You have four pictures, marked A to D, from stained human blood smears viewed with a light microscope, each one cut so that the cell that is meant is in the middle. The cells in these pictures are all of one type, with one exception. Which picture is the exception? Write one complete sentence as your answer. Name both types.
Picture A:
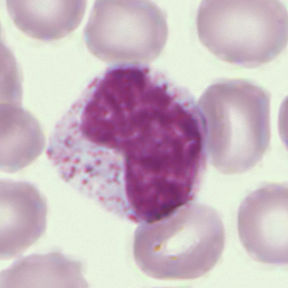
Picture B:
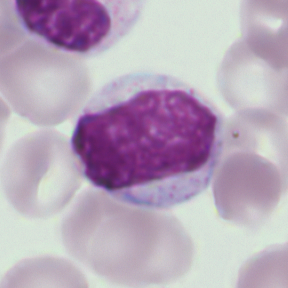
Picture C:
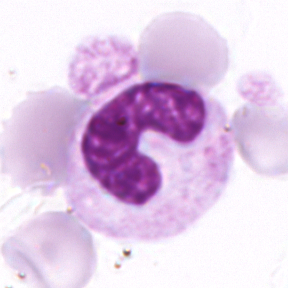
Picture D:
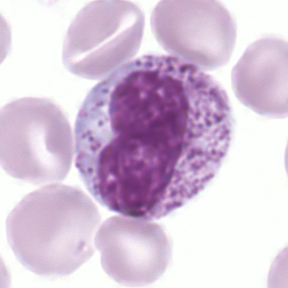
Unlike the rest, which show metamyelocytes, picture C shows a band neutrophil.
